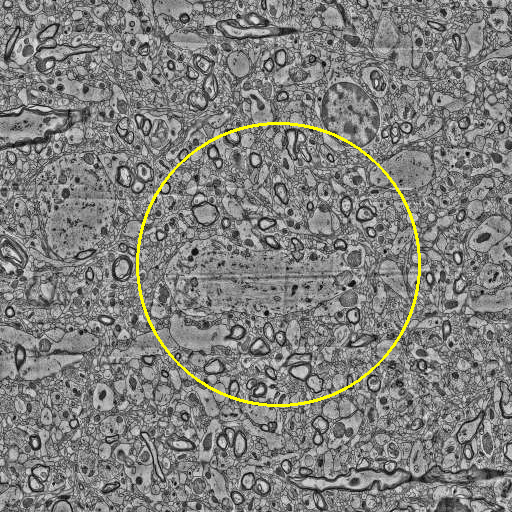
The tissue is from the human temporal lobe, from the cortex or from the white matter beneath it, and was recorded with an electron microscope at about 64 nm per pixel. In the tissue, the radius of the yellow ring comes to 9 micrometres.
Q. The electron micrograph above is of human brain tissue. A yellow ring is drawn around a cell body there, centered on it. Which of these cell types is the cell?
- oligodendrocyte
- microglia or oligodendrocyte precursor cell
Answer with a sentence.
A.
The cell under the ring's center is an oligodendrocyte.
